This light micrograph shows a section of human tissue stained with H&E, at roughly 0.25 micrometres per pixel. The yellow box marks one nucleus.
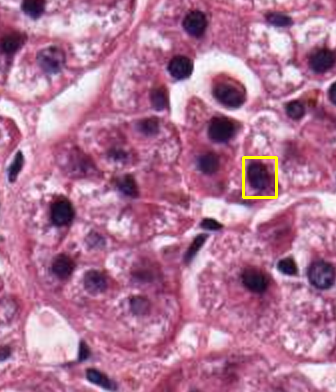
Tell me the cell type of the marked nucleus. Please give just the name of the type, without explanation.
adrenal cortical cell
